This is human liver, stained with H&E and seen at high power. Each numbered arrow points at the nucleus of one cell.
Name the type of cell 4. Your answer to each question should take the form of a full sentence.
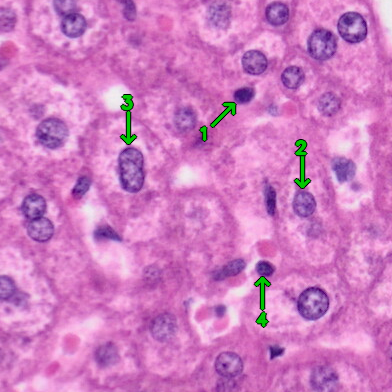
The one numbered 4 among the marked cells is a lymphocyte.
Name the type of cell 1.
Recognised here as a lymphocyte is the cell numbered 1.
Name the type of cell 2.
Among the marked nuclei, number 2 belongs to a hepatocyte.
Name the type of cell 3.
The nucleus with number 3 is that of a hepatocyte.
